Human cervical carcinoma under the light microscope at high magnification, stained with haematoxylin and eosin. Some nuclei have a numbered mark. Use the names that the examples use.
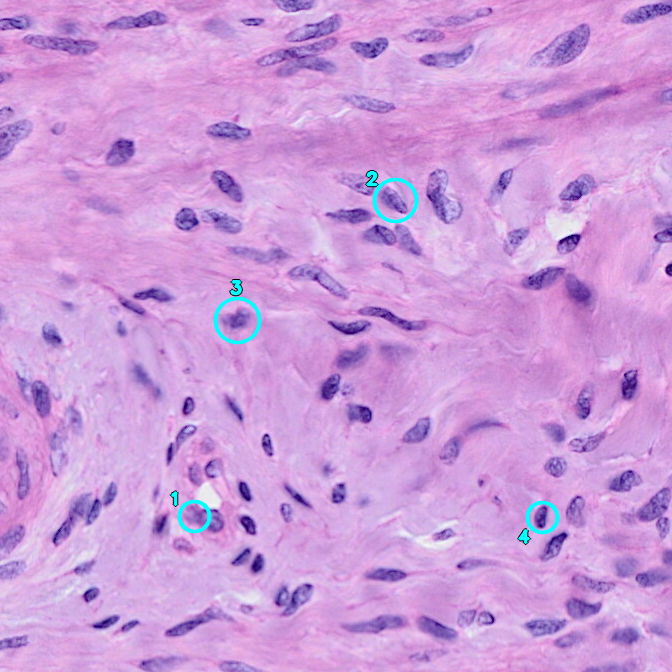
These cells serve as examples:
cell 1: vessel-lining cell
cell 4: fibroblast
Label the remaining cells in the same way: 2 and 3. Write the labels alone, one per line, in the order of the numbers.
fibroblast
fibroblast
